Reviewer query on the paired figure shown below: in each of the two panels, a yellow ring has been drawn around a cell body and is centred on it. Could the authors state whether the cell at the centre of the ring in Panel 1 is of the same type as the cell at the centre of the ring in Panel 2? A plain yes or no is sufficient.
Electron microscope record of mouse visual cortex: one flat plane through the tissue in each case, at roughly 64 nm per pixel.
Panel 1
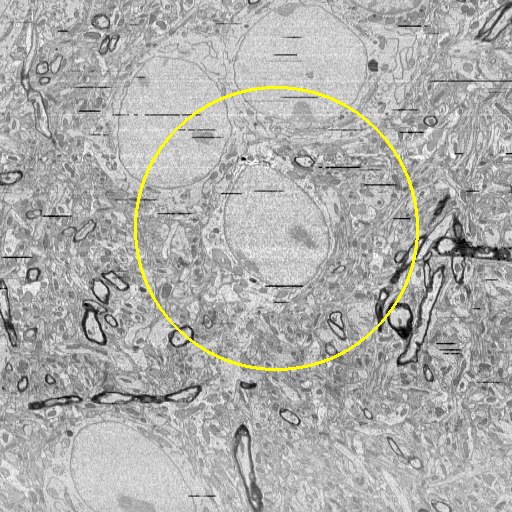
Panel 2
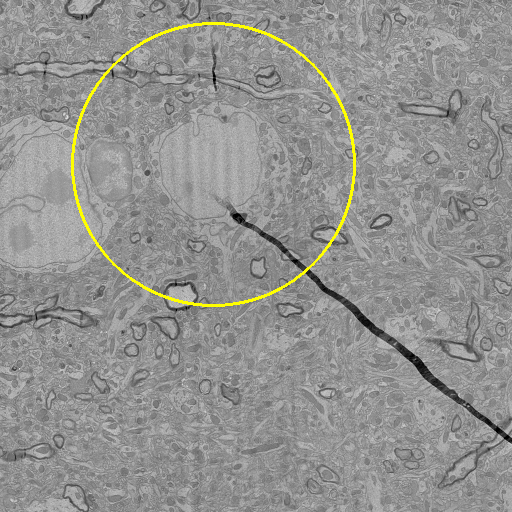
no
